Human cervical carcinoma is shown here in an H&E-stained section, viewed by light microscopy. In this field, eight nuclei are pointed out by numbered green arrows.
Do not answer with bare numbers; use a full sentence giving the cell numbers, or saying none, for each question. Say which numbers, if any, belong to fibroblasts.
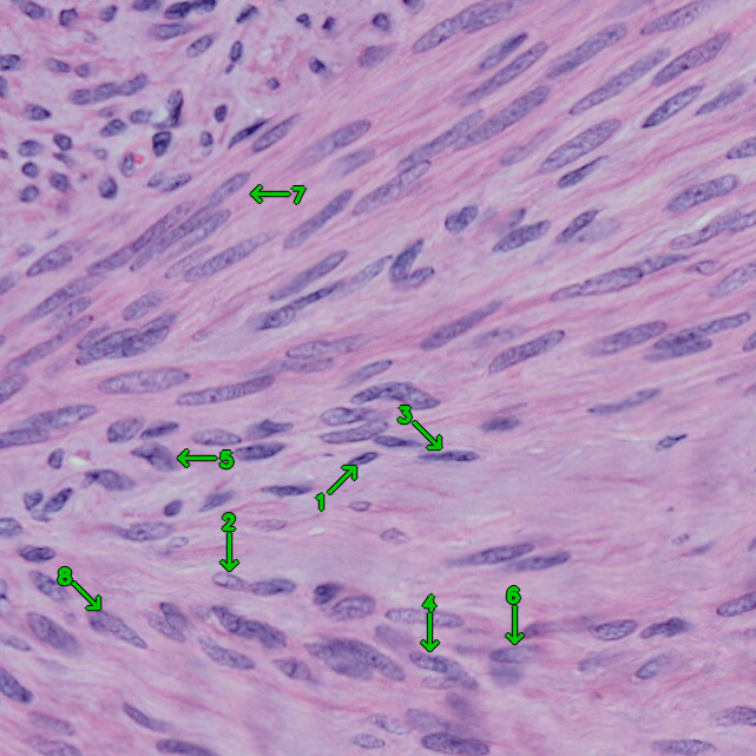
The numbers 1, 3 and 5 mark cells that are fibroblasts.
